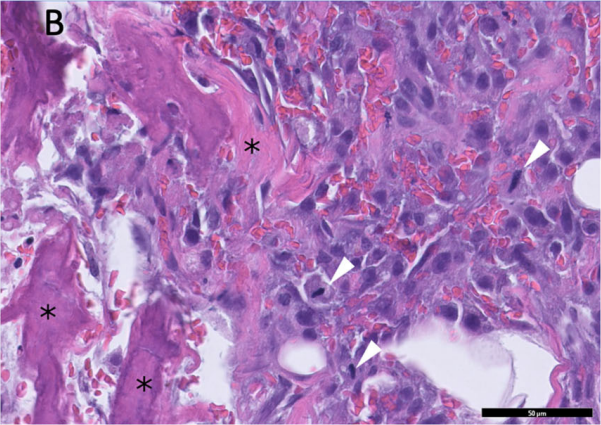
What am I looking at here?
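This is a high-power view of neoplastic tissue with crowded tumor cells lying between bands of pale pink, glassy osteoid. The tumor cells are plump to spindled and have large, oval to irregular, dark purple nuclei that vary in size and shape. Their cytoplasm is pale purple and poorly bounded. Numerous red blood cells are scattered among the cells. Some cells show dense, dark mitotic figures. The homogeneous pink matrix lies along the left side and runs into the cellular area.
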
